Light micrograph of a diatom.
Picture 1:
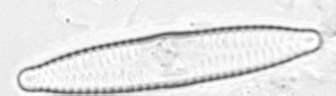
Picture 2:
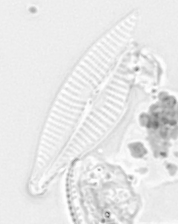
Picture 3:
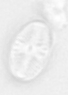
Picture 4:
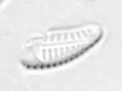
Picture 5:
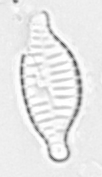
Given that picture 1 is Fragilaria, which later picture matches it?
5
